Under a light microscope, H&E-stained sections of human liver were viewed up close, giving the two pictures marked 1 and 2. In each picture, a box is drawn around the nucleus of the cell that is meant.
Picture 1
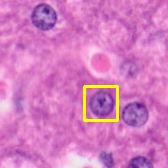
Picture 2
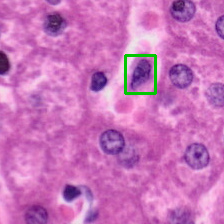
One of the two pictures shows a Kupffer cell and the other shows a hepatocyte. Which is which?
1: hepatocyte
2: Kupffer cell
